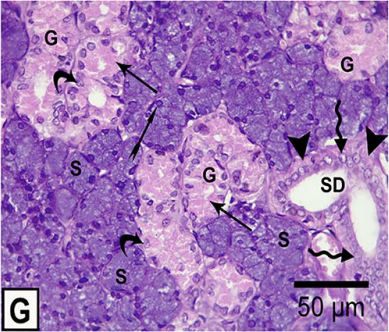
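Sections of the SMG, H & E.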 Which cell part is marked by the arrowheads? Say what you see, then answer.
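Arrowheads point to the basal side of the columnar cells lining a duct with an open lumen. The lining cells have pink cytoplasm and round nuclei.
Conclusion: basal striation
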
